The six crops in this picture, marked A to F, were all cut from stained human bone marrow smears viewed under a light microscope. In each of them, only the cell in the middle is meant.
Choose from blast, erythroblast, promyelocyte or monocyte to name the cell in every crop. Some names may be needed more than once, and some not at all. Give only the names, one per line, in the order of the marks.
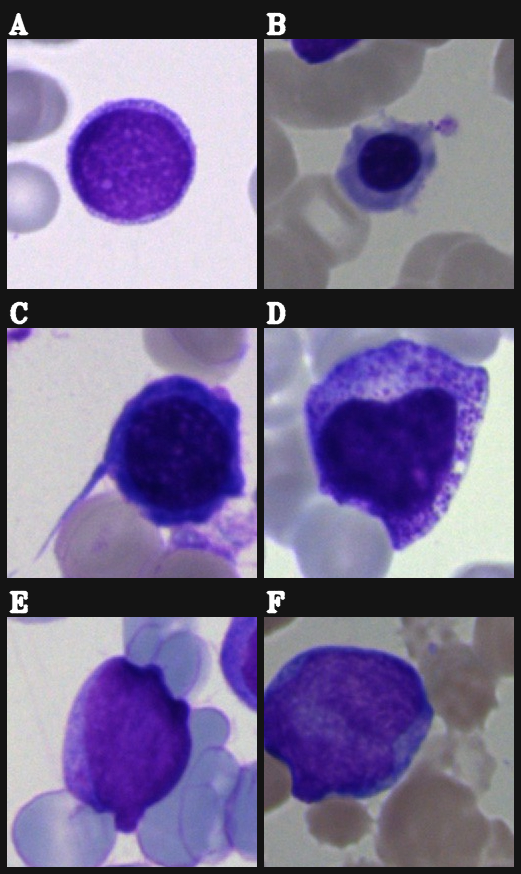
blast
erythroblast
erythroblast
promyelocyte
blast
blast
